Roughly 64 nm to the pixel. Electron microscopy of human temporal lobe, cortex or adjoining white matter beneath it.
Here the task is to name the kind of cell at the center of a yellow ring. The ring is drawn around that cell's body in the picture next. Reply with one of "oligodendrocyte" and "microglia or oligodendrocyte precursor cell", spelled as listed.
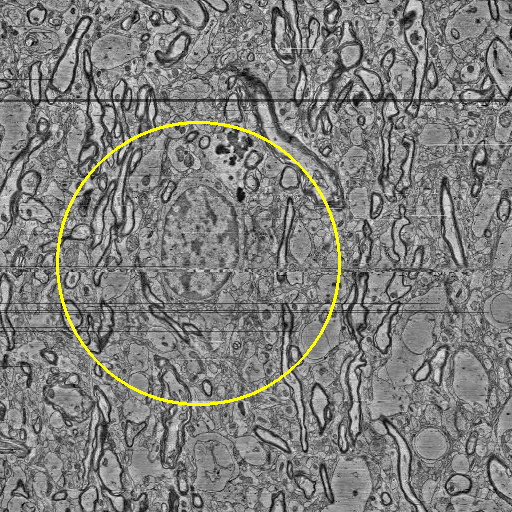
oligodendrocyte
